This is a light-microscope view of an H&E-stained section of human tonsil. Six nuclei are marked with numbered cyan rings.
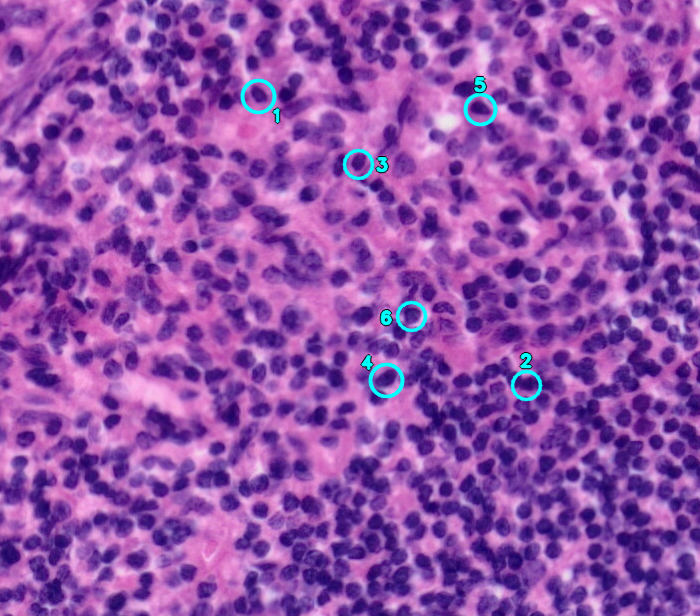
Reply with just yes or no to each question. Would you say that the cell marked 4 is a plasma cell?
no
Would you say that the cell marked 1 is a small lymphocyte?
no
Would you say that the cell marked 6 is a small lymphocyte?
yes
